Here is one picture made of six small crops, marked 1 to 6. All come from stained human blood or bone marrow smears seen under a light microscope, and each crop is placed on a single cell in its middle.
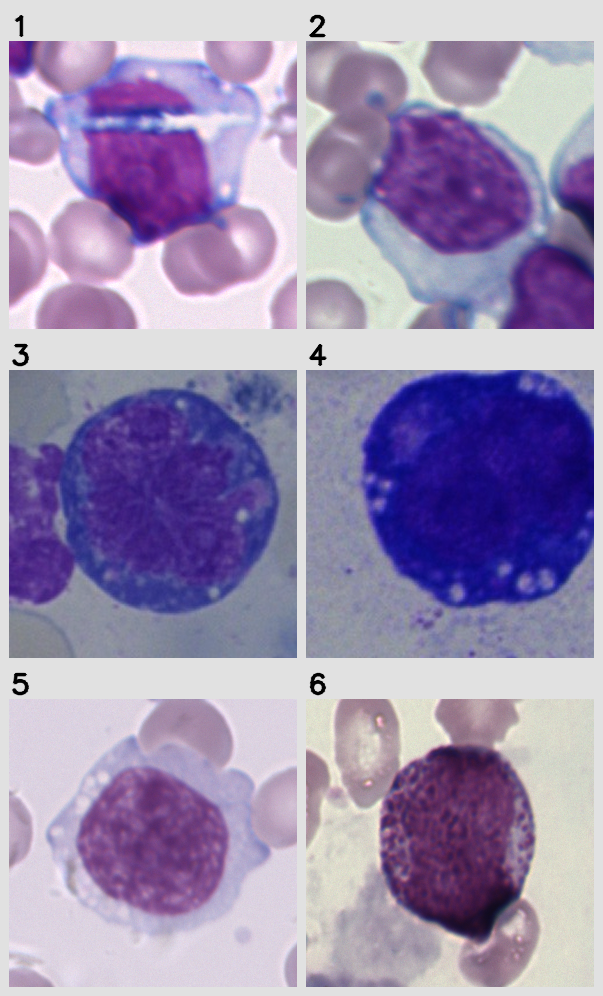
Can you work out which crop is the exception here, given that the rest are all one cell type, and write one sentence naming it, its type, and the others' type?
Crop 6 alone is a promyelocyte, and the other crops are all blasts.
